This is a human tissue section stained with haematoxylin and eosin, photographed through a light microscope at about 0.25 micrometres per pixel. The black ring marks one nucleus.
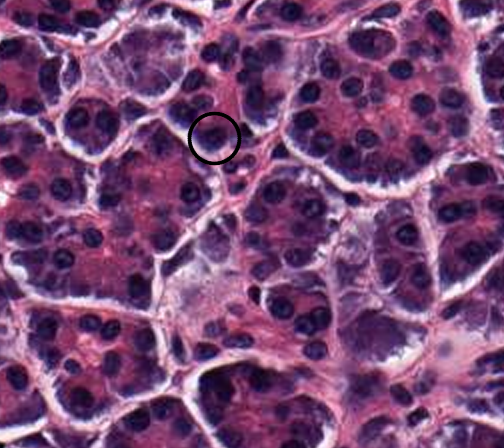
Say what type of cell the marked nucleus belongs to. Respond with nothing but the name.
pancreatic acinar cell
